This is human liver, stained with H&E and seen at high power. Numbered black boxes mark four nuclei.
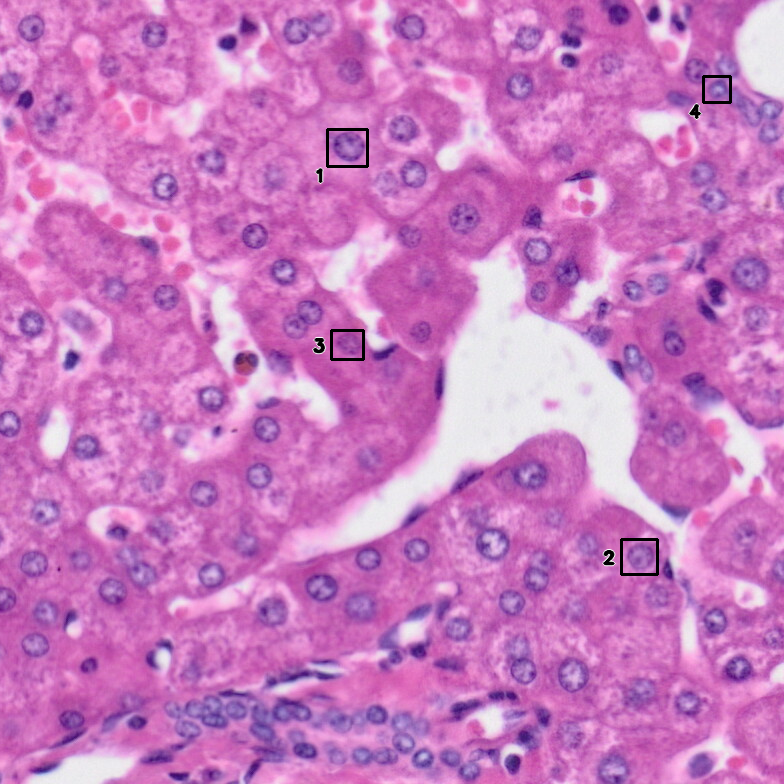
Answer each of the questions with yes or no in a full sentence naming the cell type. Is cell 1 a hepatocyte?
Yes, in this section the cell with number 1 is a hepatocyte.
